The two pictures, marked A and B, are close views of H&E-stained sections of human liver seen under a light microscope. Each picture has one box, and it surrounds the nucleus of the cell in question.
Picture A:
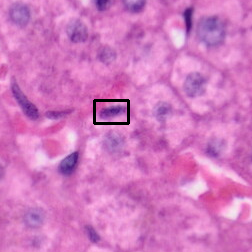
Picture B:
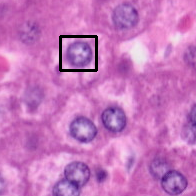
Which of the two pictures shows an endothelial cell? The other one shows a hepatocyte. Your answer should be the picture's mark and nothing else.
A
